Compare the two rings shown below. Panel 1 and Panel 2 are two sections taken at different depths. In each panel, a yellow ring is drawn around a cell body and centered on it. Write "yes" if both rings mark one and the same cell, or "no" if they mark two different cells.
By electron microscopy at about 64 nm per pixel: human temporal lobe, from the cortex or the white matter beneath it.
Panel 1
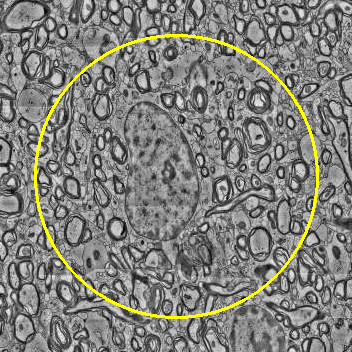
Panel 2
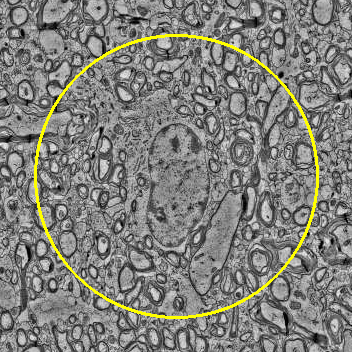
no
